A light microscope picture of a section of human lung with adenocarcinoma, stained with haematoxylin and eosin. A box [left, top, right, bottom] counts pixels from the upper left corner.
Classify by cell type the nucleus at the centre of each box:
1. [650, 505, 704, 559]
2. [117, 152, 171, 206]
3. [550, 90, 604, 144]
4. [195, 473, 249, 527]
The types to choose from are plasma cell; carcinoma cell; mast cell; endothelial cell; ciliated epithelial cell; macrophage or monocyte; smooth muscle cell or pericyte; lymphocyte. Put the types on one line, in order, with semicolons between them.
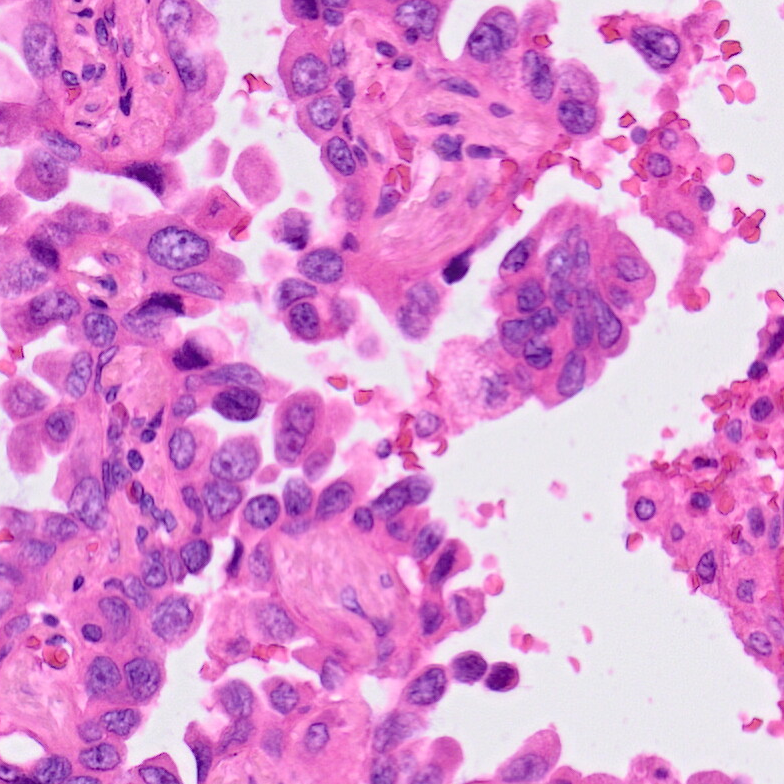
macrophage or monocyte; carcinoma cell; carcinoma cell; carcinoma cell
